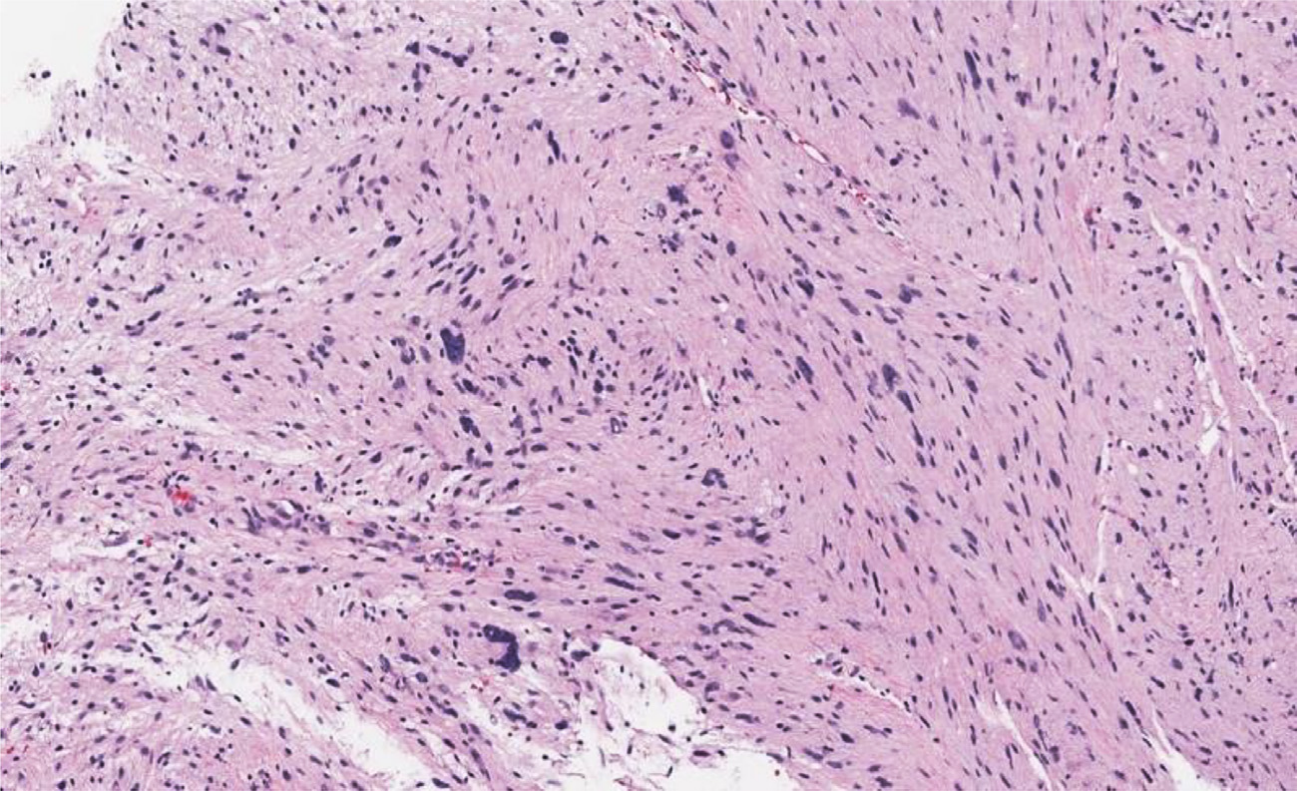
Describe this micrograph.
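This is a spindle cell tumour made of elongated cells lying in sweeping fascicles that run in different directions. Most nuclei are slender, wavy or oval, and fairly bland, set in a pale pink, finely fibrillary background. Scattered among them are a few much larger cells whose nuclei are dark, irregular and lobulated, standing out sharply against the small uniform nuclei around them. Mitoses are not obvious. A thin vessel crosses the upper field, and a few clefts and loosened areas appear at the edges.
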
